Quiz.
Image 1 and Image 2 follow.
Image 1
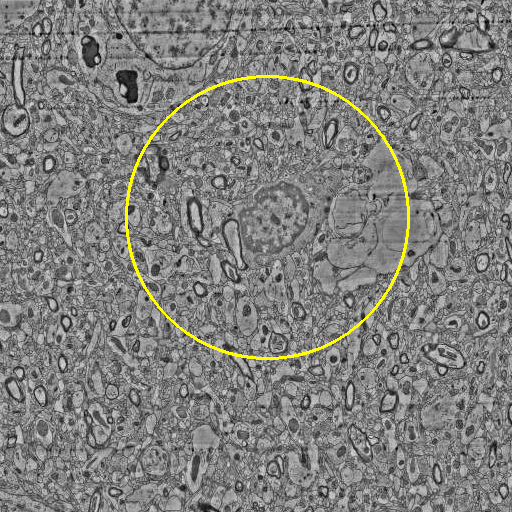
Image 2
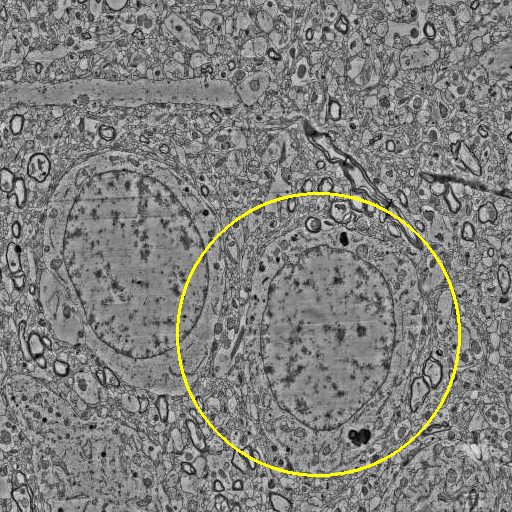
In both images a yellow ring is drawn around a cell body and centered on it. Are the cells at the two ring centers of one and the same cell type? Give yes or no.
no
